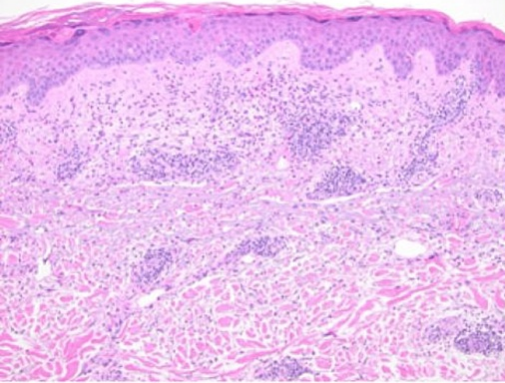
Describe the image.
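This is skin at low power, with a pink layer of surface keratin on top of the epidermis and the dermis below. In the upper dermis, dense clusters of small dark-nucleated inflammatory cells gather around the small blood vessels, and more cells lie scattered between the collagen. Deeper down, the dermis is made of thick pink collagen bundles, with a few further cuffs of cells around vessels.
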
